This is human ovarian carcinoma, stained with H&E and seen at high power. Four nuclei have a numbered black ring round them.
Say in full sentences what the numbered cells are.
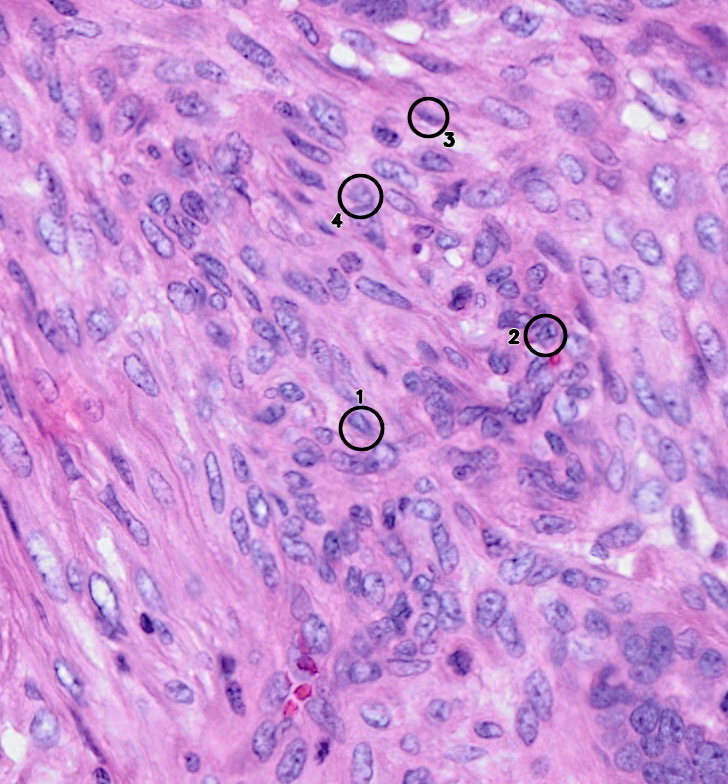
Cell 1 is a fibroblast, cell 2 is an endothelial cell, cell 3 is a fibroblast and cell 4 is a fibroblast.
